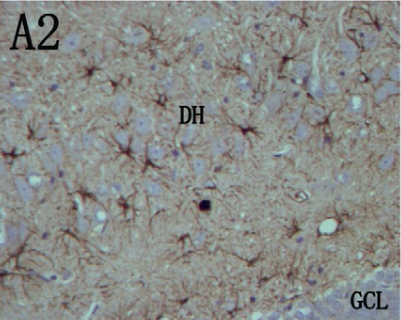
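Scattered evenly through the hilar tissue of the hippocampus are brown-stained star-shaped astrocytes with small bodies and long, slender, branching processes. Between them lie pale blue, rounded neuronal cell bodies, and a tightly packed row of blue cells lines the lower right corner. A few small round vessel lumina appear as clear holes. The slim, fine-processed astrocytes give the picture of normal tissue.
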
